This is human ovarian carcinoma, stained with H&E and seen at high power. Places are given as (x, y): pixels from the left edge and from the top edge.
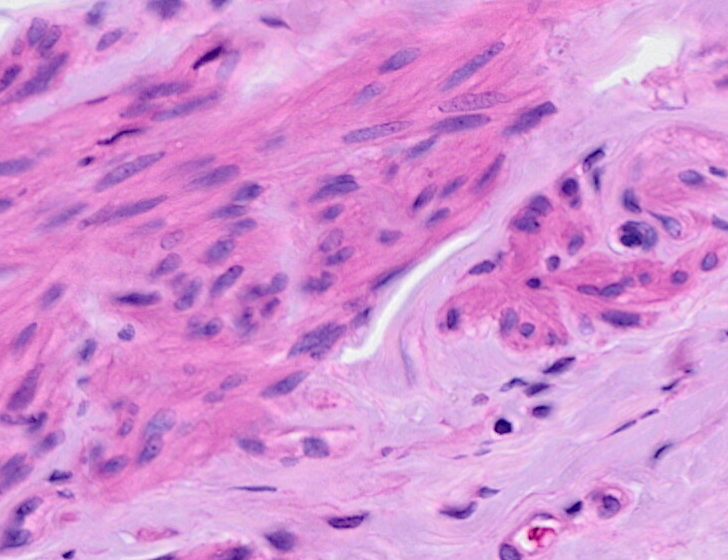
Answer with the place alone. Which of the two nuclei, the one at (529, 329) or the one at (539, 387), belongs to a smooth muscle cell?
(529, 329)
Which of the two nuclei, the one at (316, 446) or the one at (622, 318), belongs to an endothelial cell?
(316, 446)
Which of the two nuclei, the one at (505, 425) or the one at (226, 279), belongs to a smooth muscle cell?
(226, 279)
